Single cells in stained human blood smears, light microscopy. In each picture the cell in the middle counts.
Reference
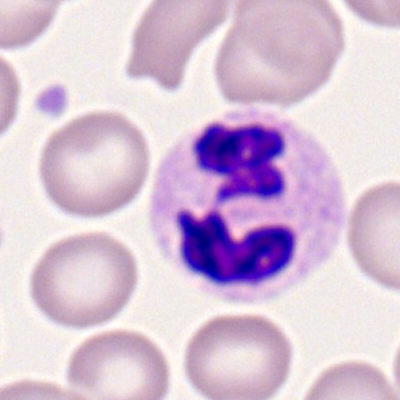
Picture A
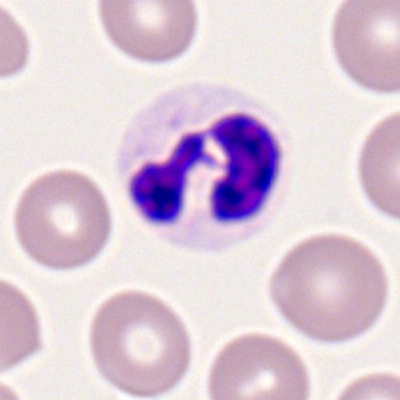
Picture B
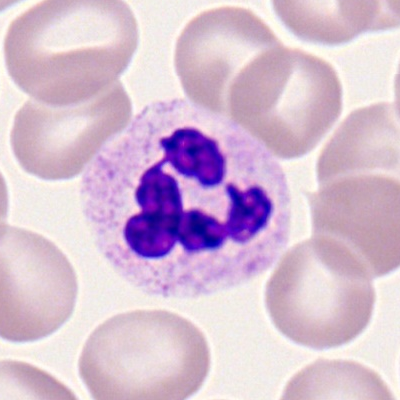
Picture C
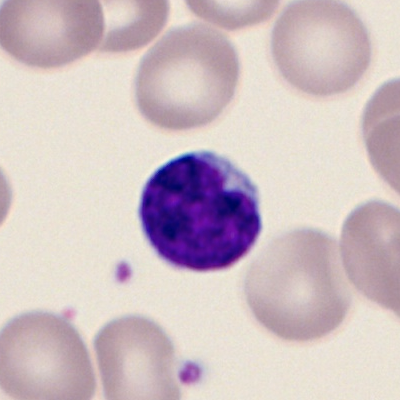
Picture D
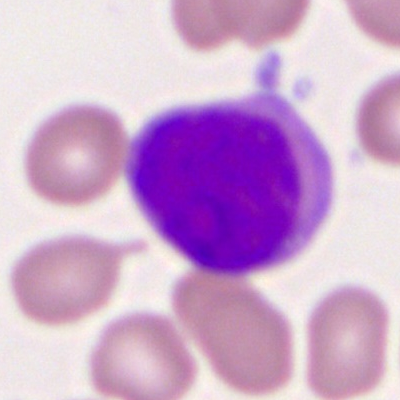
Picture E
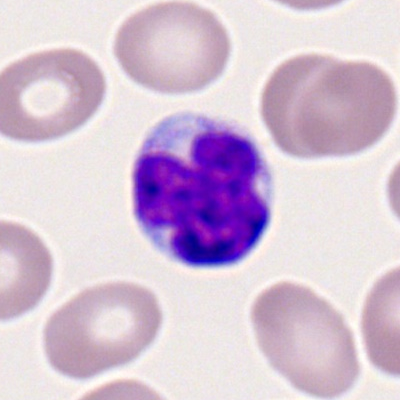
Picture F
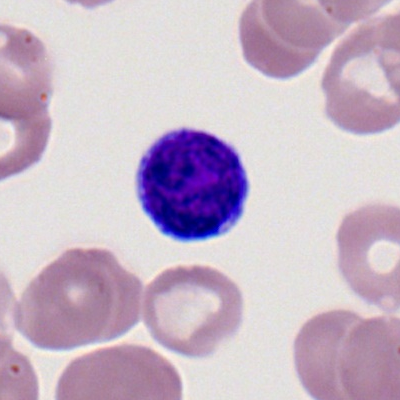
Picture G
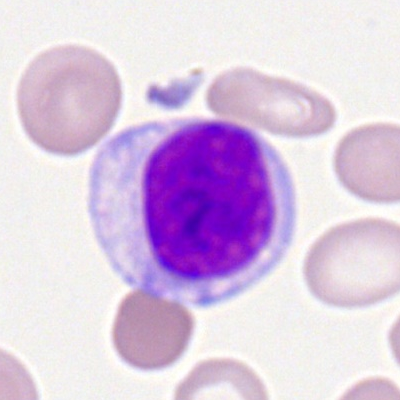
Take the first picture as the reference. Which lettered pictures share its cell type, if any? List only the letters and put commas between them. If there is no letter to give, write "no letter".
A, B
